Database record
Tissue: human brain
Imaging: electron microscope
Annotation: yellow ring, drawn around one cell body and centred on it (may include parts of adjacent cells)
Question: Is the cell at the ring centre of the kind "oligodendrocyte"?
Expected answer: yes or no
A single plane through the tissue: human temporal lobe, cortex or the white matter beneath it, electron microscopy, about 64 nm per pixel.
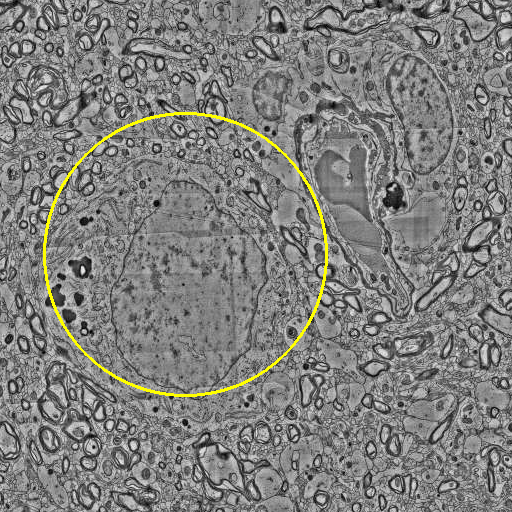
no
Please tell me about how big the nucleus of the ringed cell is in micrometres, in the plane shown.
Roughly 13 by 10 micrometres is the size of the nucleus in this plane.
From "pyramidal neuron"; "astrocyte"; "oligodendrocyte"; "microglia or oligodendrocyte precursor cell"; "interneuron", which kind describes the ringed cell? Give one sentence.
The correct answer is that the cell is a pyramidal neuron.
